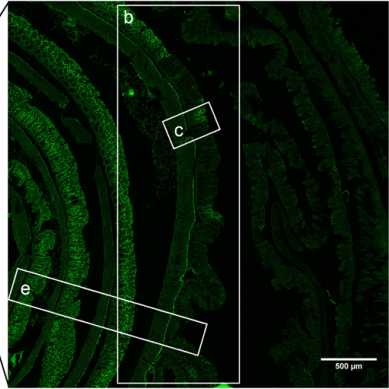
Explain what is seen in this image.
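Several parallel turns of rolled colonic wall run in curved bands, each with a mucosa of tightly packed crypts over a thin underlying wall layer. The crypt epithelium is bright green along long stretches of some turns, while along other stretches the mucosa is dim with only scattered bright crypts. A thin bright green line runs along the base of the mucosa in several turns.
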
